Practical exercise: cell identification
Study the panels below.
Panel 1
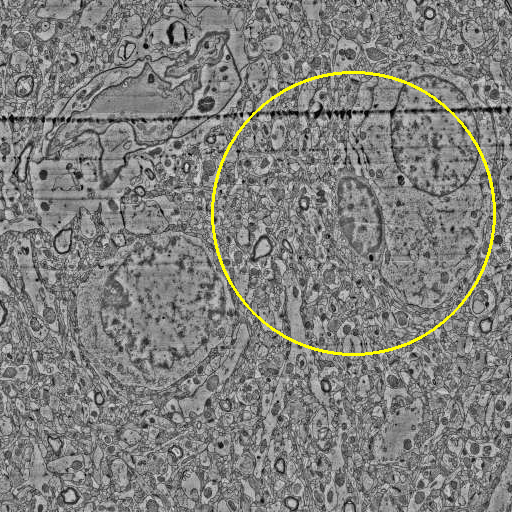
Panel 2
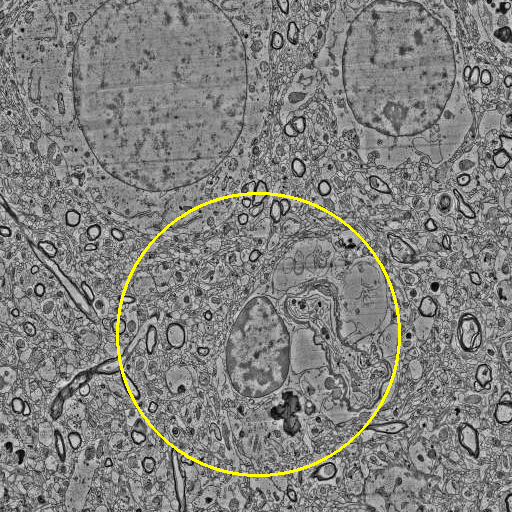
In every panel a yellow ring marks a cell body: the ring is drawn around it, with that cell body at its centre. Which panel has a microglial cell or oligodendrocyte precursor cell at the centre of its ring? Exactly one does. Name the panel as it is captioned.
Panel 2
